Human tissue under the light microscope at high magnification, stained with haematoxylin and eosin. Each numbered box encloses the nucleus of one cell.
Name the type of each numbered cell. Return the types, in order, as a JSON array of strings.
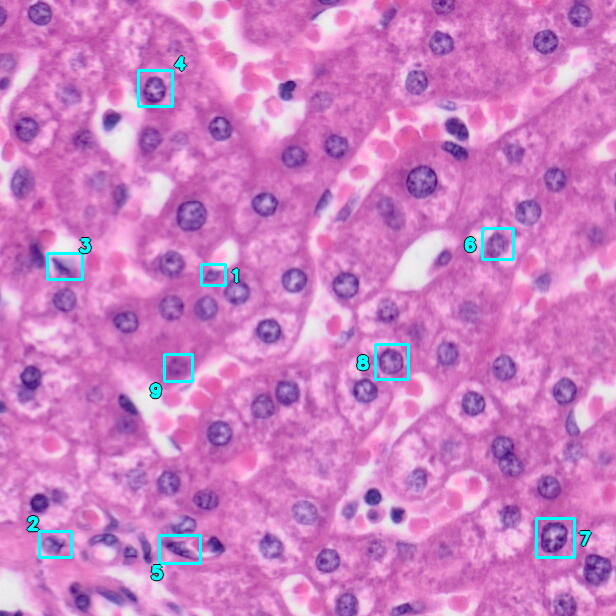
["fibroblast or stellate cell", "fibroblast or stellate cell", "endothelial cell", "hepatocyte", "fibroblast or stellate cell", "hepatocyte", "hepatocyte", "hepatocyte", "hepatocyte"]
